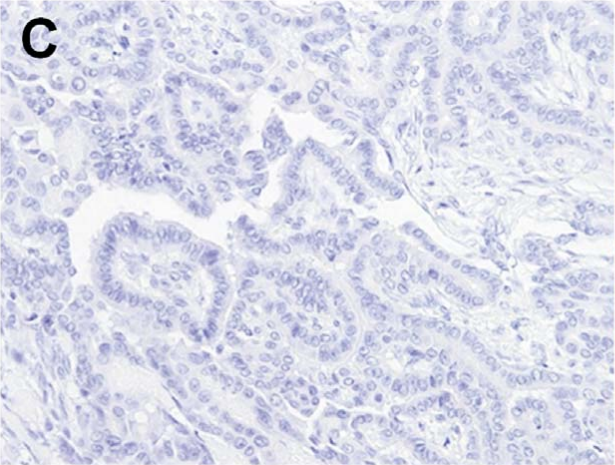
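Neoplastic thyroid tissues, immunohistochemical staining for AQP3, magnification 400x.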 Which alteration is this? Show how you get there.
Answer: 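Papillary carcinoma. Branching finger-like fronds with thin cores are lined by epithelial cells. The lining nuclei are crowded and overlapping.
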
